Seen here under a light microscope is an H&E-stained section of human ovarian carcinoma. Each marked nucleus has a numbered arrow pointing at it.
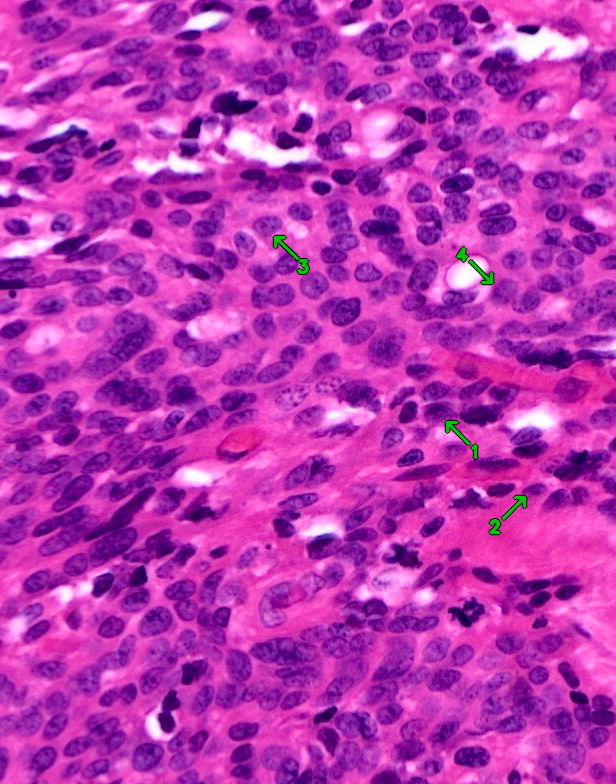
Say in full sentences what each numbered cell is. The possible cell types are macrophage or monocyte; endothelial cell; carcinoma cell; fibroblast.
Cell 1 is a carcinoma cell, cell 2 is a macrophage or monocyte, cell 3 is a carcinoma cell and cell 4 is a carcinoma cell.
